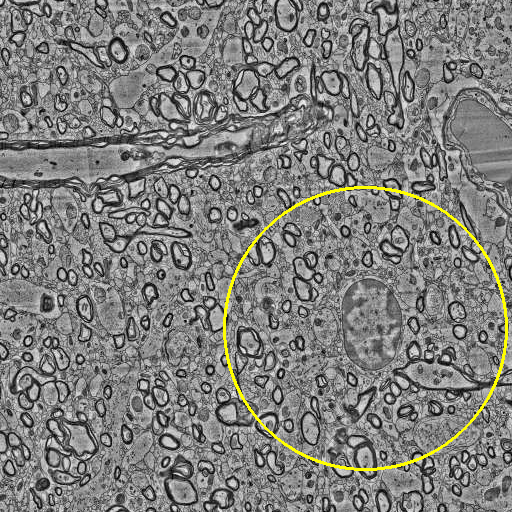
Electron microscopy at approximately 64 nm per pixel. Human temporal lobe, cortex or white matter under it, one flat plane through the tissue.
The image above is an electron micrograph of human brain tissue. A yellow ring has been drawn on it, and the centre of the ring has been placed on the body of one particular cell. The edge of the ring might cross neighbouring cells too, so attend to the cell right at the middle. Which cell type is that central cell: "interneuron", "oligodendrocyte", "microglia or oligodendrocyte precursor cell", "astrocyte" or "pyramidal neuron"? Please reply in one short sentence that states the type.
The central cell in the ring is a microglial cell or oligodendrocyte precursor cell.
